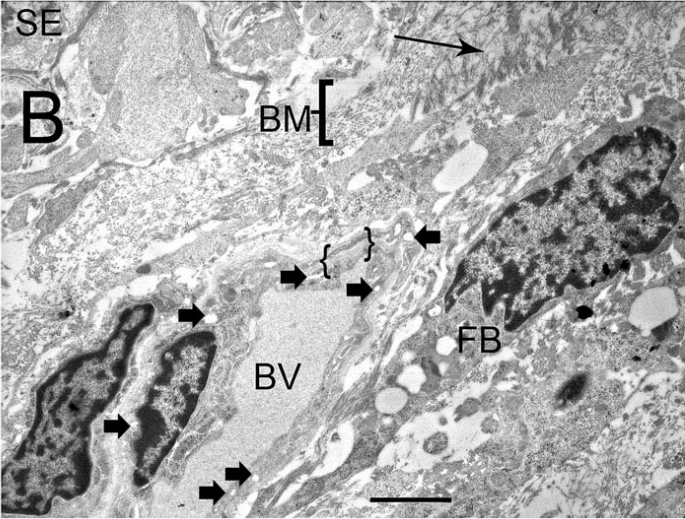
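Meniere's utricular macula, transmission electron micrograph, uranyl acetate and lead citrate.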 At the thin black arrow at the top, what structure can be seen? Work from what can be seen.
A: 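The thin arrow points to a band of fine, irregularly oriented fibrillar material. The fibrils run in different directions rather than in an orderly layer. That points to this answer: collagen-like fibrils.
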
